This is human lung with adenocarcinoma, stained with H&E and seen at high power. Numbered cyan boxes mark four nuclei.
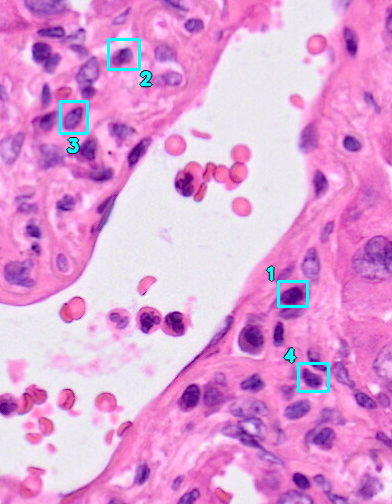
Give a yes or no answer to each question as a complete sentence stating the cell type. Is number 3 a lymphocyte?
No, the cell at number 3 is a mast cell instead of a lymphocyte.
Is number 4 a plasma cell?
No, the cell tagged 4 is a lymphocyte, and not a plasma cell.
